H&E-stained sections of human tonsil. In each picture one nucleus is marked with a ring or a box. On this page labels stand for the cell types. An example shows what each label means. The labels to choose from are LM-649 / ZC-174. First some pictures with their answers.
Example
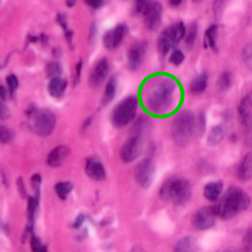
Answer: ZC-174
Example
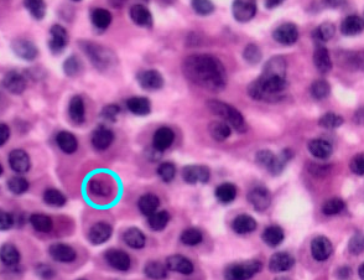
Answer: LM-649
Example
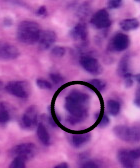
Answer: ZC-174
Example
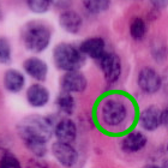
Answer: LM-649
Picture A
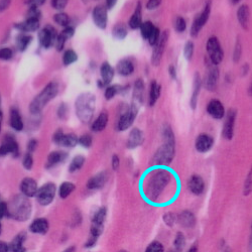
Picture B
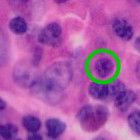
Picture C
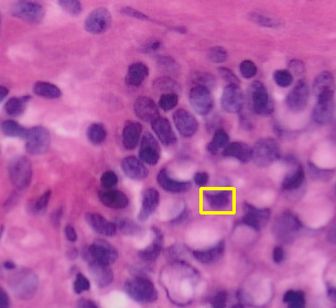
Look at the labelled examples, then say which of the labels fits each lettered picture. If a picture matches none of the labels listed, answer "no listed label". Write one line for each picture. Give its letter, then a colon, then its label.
A: no listed label
B: no listed label
C: ZC-174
